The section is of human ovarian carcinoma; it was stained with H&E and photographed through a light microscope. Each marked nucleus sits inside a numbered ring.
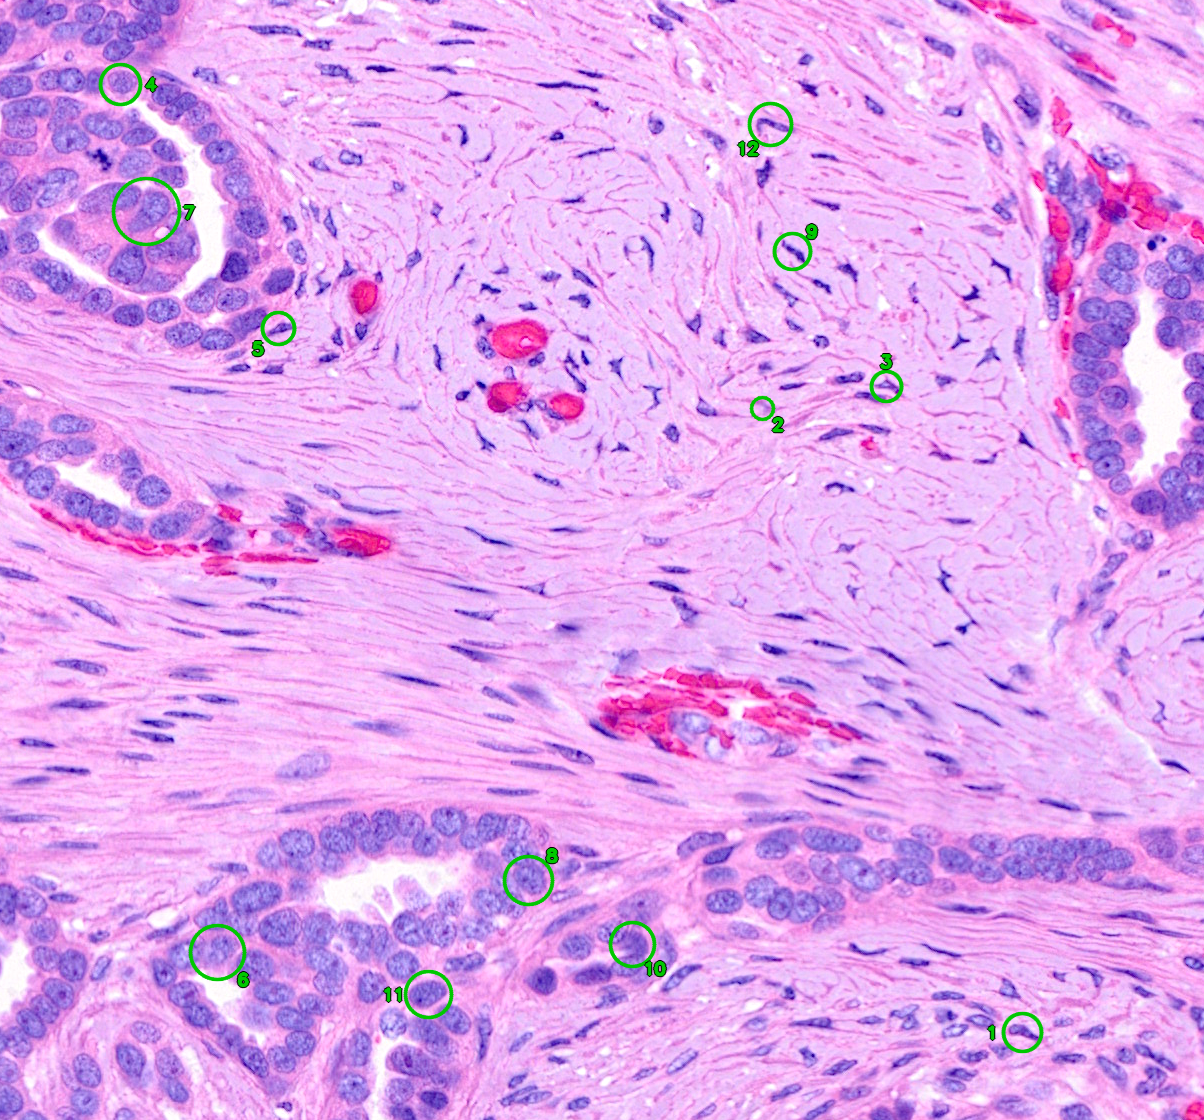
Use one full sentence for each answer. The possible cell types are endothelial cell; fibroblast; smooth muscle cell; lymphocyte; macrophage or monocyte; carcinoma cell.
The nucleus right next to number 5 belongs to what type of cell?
Number 5 lies closest to the nucleus of a carcinoma cell.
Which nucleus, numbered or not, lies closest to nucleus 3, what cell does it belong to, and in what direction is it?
The closest nucleus belongs to a fibroblast and sits below and to the left of nucleus 3.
